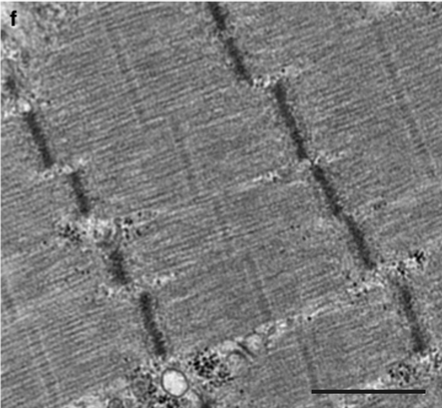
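Skeletal muscle fibre in longitudinal section with sarcomeres of several myofibrils shown at higher magnification. Dark, thick transverse Z-discs mark the boundaries of each sarcomere and line up across adjacent myofibrils, running diagonally through the field. Between them, fine, tightly packed longitudinal filaments produce a regular striated texture. Small clusters of dark granules and a small pale vesicle lie in the narrow spaces between myofibrils beside the Z-discs. The sarcomeres appear evenly spaced and the filament arrangement is orderly, with no obvious disruption.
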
